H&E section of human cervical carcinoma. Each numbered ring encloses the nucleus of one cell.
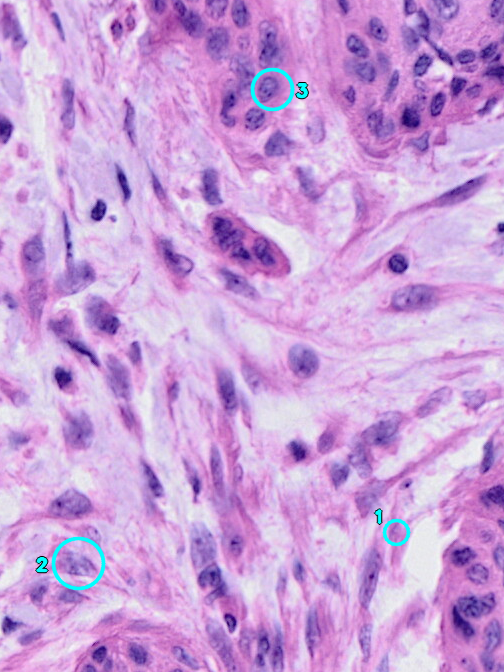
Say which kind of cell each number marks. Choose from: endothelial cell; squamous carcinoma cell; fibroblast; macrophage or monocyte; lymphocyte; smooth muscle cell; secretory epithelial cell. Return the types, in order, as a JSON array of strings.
["fibroblast", "fibroblast", "squamous carcinoma cell"]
